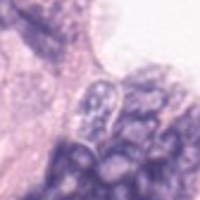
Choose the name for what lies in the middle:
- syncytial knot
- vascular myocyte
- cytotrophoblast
syncytial knot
